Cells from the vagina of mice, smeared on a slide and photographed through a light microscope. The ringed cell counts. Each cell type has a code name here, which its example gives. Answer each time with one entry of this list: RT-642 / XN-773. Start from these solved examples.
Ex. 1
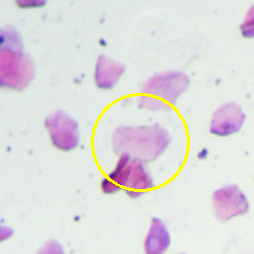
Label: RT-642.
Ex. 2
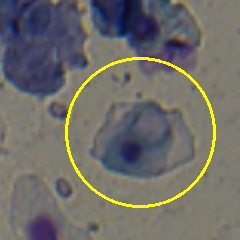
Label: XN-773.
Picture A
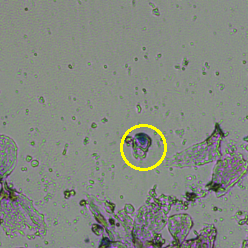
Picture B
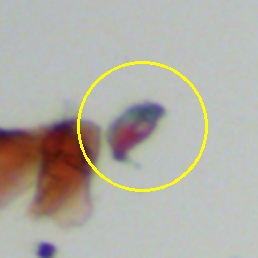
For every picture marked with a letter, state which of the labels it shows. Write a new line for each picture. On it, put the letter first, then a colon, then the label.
A: XN-773.
B: XN-773.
